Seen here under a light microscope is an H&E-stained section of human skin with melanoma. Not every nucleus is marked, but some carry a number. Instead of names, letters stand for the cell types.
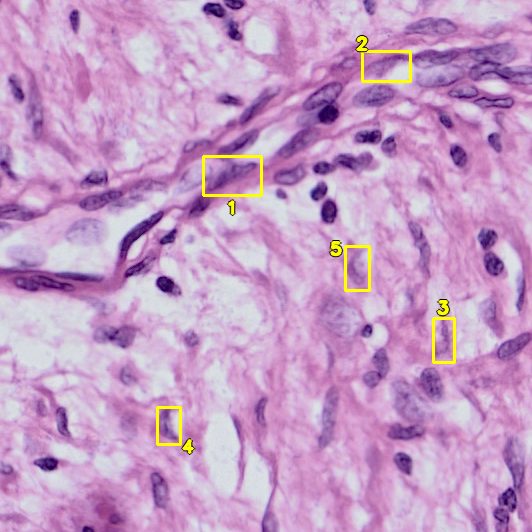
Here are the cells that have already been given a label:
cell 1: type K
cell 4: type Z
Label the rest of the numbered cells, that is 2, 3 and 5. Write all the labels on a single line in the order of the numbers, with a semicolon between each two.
type K; type Z; type Z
